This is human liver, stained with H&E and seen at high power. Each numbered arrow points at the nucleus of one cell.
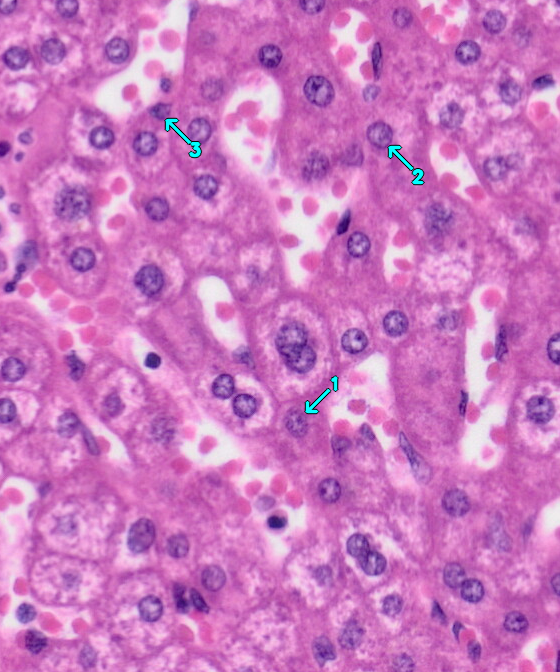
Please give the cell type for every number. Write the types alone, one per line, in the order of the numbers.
hepatocyte
hepatocyte
fibroblast or stellate cell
